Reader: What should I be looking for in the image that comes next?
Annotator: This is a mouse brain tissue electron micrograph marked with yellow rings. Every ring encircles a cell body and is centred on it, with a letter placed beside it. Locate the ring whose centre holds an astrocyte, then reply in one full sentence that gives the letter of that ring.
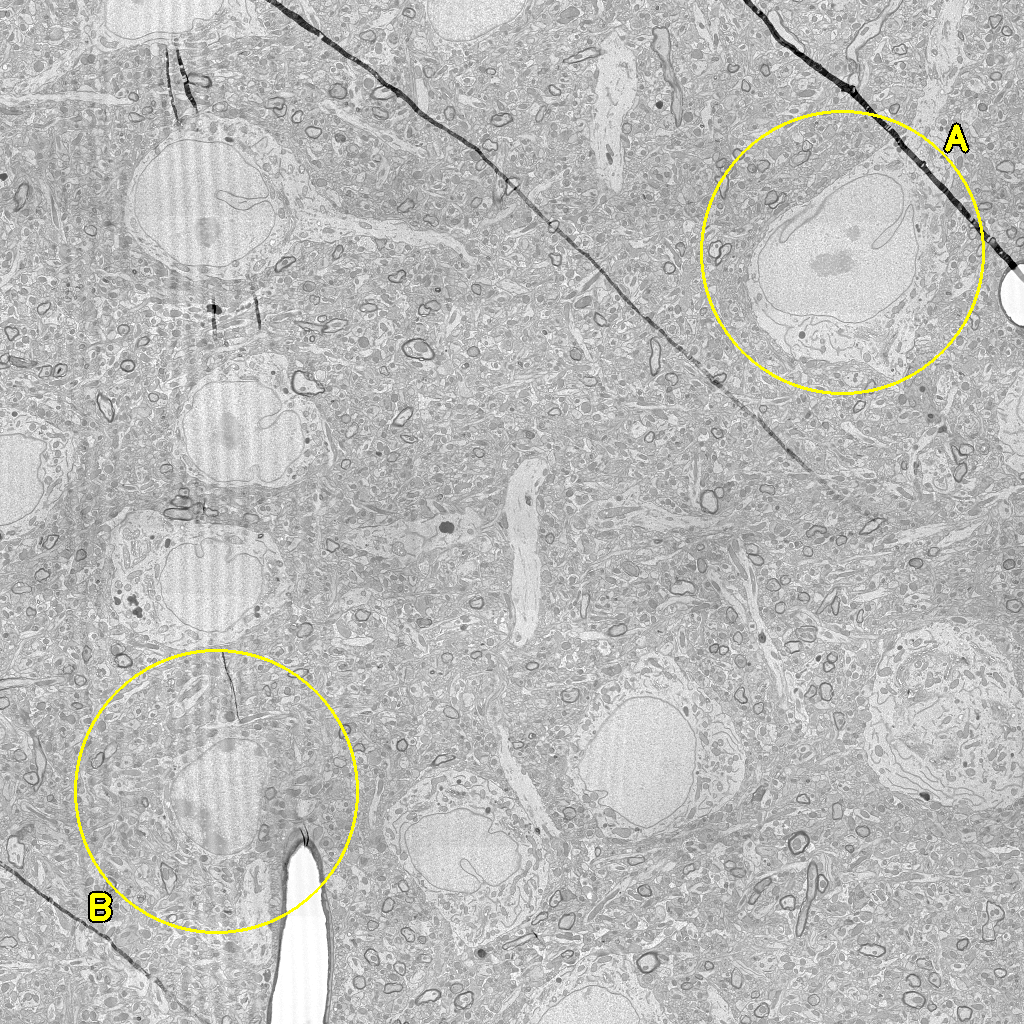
The ring centred on the cell asked for is the one labelled B.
